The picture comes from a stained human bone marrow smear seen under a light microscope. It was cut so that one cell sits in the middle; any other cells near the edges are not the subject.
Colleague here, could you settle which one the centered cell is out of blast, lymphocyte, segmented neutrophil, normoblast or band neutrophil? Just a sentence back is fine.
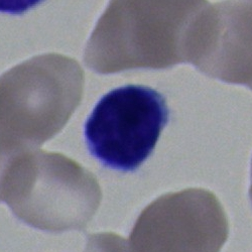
Located at the centre of the crop is a lymphocyte.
